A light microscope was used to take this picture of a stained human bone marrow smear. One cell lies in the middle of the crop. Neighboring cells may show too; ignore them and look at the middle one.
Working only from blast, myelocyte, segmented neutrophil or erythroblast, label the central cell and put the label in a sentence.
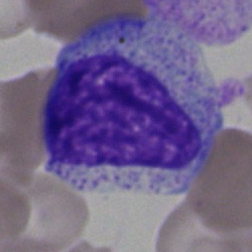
The cell at the middle of the crop is recognized as a myelocyte.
